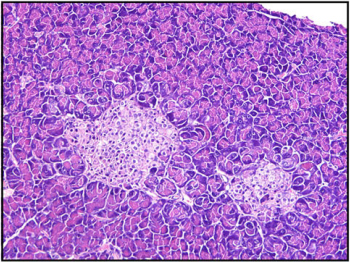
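Pancreatic tissue with two pale-staining islets, one larger at the left of centre and a smaller one beside it, set among densely packed, dark purple acinar cells. The islet cells stain lighter than the surrounding acinar tissue and have small, scattered nuclei.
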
